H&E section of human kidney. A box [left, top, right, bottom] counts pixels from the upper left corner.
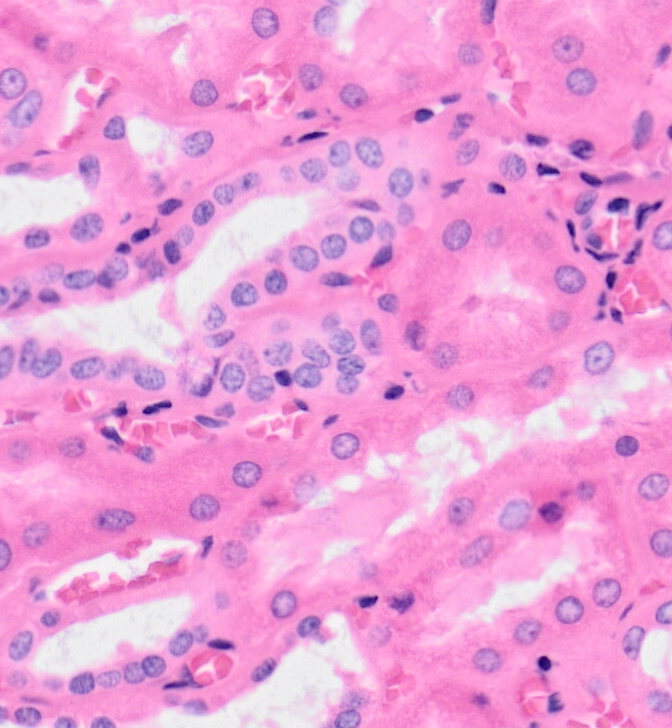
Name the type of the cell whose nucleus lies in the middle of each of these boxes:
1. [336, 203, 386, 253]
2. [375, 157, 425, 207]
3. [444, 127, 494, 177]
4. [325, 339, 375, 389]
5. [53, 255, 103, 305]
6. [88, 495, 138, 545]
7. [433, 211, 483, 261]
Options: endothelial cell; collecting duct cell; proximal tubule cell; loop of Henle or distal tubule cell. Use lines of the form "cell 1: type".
cell 1: collecting duct cell
cell 2: collecting duct cell
cell 3: loop of Henle or distal tubule cell
cell 4: collecting duct cell
cell 5: collecting duct cell
cell 6: proximal tubule cell
cell 7: proximal tubule cell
